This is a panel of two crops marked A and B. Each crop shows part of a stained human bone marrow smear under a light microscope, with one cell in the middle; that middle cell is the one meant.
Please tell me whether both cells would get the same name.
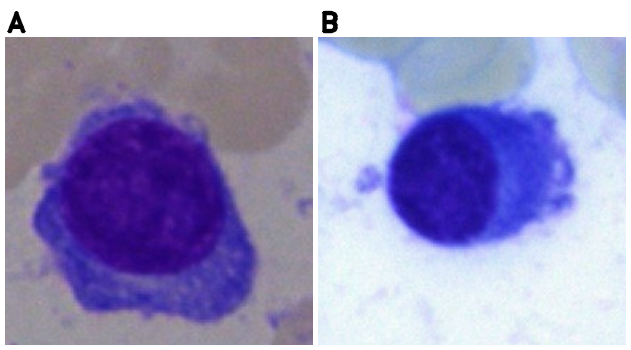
yes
